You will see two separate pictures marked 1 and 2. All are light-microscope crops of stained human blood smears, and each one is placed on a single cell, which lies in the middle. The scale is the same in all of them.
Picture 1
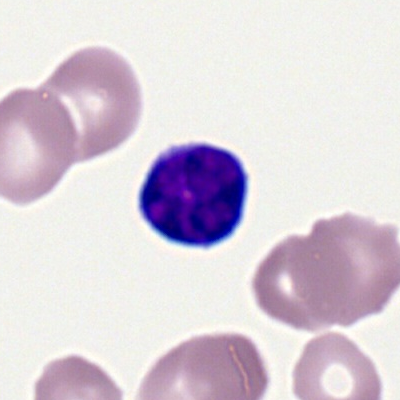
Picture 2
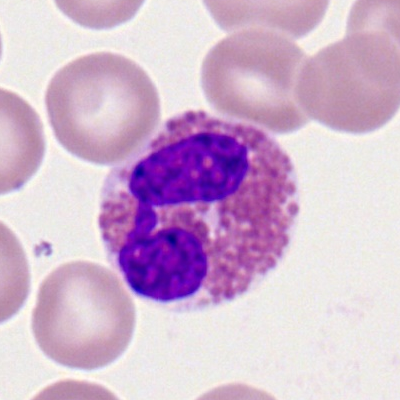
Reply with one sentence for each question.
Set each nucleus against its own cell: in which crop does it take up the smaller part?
Of the two, the nucleus in picture 2 leaves more room for cytoplasm.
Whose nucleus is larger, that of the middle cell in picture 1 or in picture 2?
It is the nucleus in picture 2, about 1.5 times as large in area as the one in picture 1.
